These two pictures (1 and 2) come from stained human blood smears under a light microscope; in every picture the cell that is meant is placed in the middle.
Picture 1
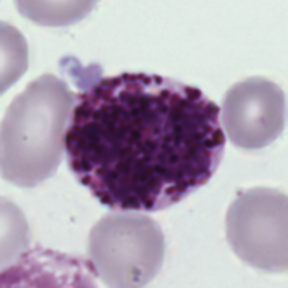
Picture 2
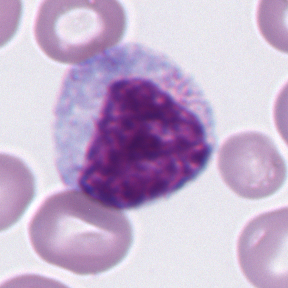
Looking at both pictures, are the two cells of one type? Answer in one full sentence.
No, they differ: the cell is a basophil in picture 1 and a myelocyte in picture 2.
